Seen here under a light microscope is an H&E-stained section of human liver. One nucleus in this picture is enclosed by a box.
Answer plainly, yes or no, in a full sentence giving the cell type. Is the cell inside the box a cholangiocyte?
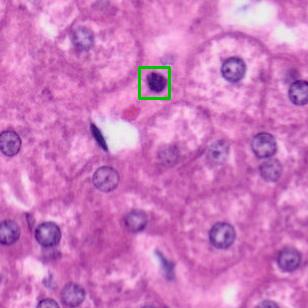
No, a cholangiocyte is not what the cell inside the box is; it is a lymphocyte.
